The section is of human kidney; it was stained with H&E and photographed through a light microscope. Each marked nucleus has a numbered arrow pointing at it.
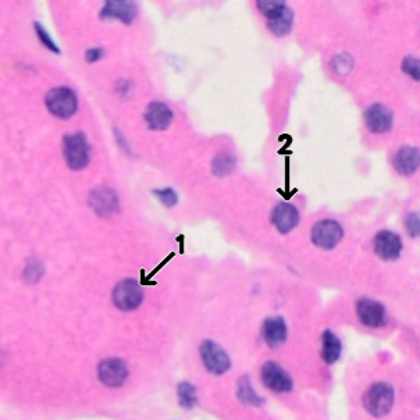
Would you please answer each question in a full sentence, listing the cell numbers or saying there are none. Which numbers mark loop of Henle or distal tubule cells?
Among the cells marked with numbers, the only one that is a loop of Henle or distal tubule cell is number 2.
